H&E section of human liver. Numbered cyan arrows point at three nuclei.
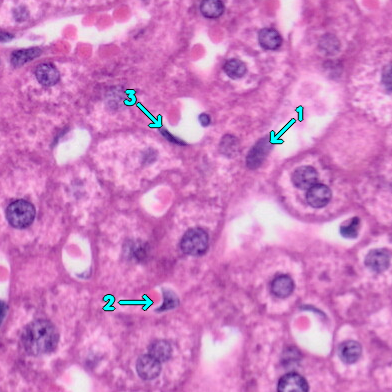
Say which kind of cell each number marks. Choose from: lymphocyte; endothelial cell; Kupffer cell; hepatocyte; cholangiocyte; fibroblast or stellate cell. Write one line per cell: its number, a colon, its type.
1: Kupffer cell
2: endothelial cell
3: endothelial cell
